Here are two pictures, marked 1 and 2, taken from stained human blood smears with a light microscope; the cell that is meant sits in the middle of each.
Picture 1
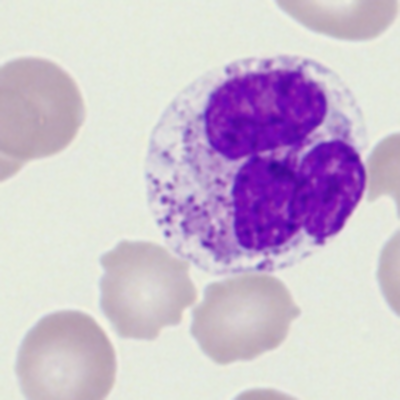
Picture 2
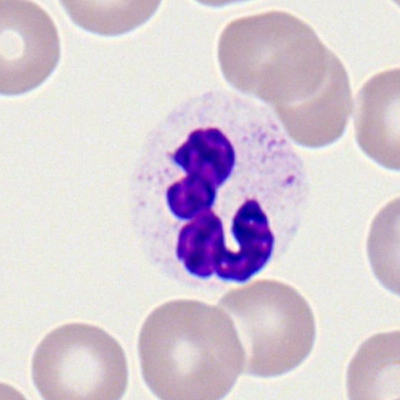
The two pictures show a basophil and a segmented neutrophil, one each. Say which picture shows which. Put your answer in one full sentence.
Picture 1 shows a basophil and picture 2 shows a segmented neutrophil.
